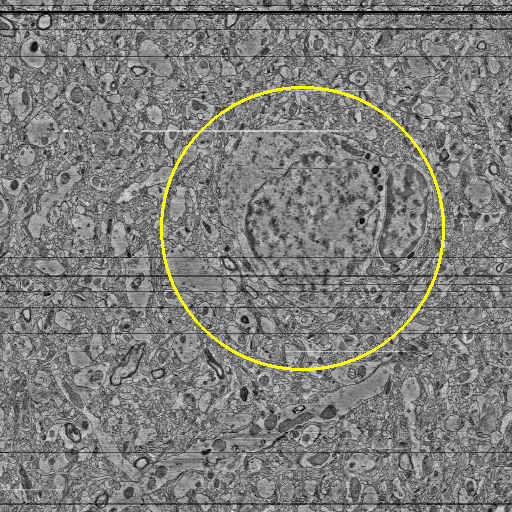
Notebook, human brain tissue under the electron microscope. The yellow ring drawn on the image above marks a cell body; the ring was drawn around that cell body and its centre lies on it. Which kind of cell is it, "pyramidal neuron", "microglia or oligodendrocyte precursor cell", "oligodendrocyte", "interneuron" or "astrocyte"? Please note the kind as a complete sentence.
The marked cell body is that of an interneuron.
